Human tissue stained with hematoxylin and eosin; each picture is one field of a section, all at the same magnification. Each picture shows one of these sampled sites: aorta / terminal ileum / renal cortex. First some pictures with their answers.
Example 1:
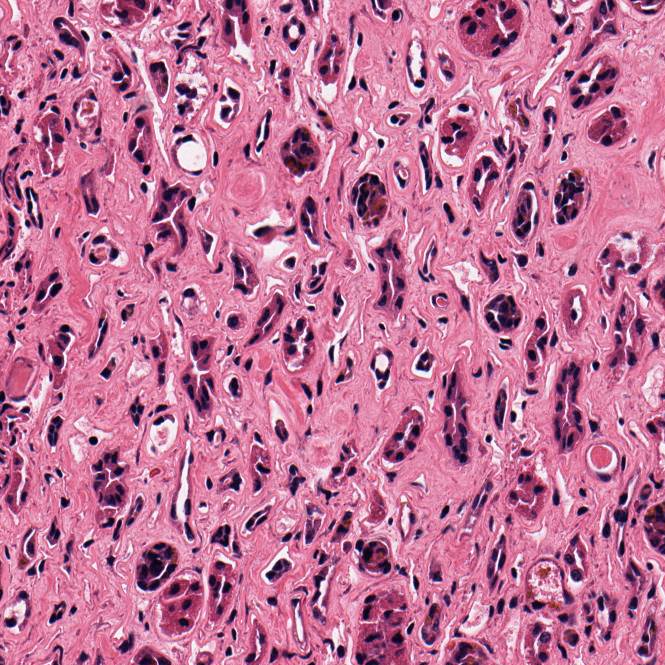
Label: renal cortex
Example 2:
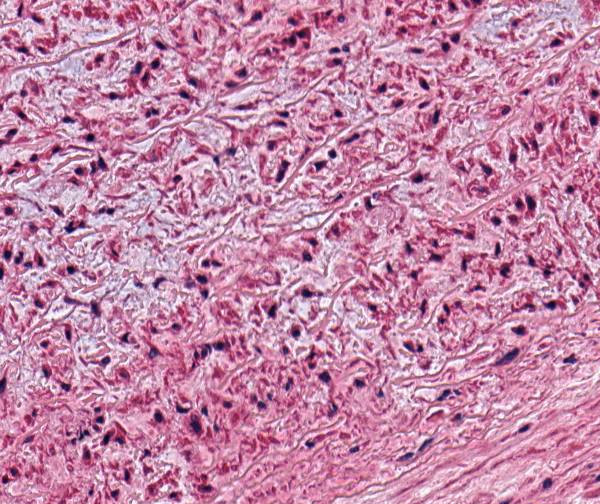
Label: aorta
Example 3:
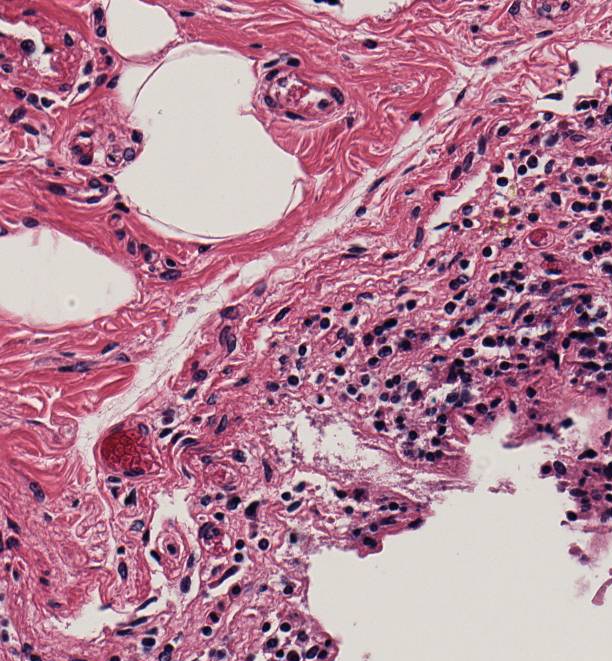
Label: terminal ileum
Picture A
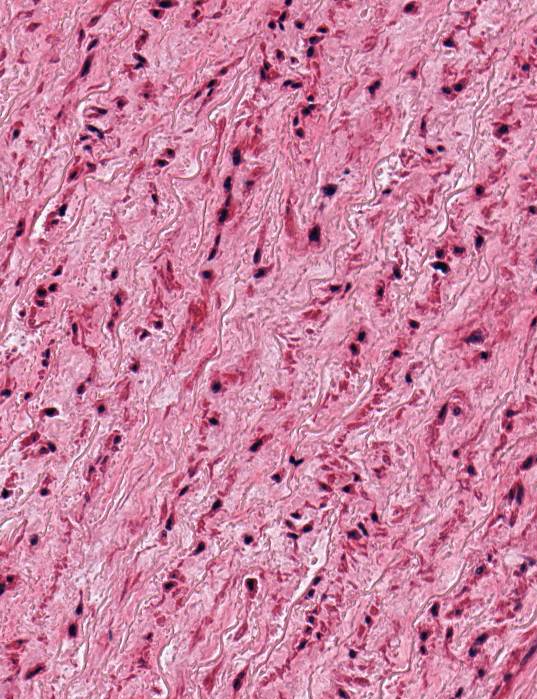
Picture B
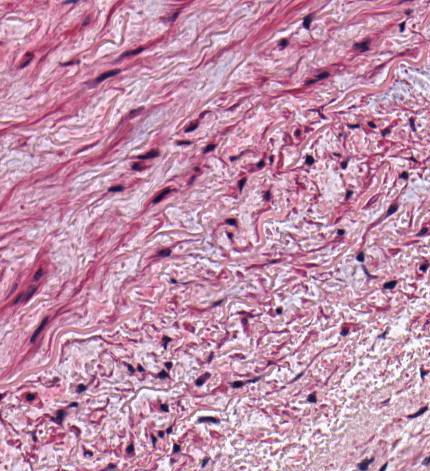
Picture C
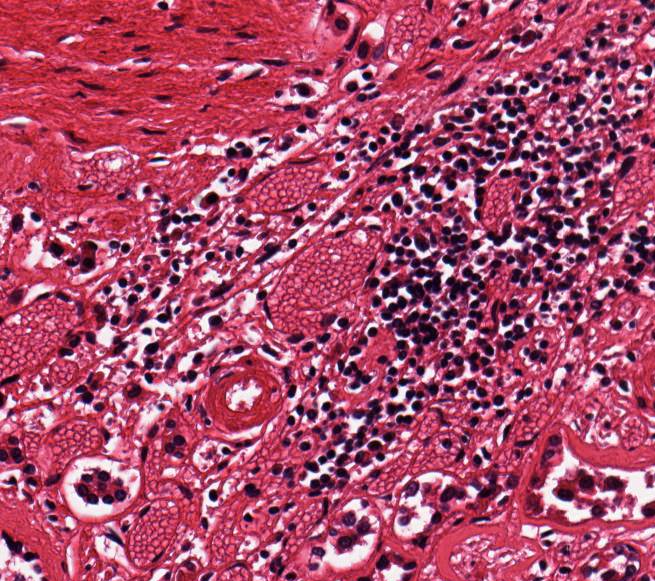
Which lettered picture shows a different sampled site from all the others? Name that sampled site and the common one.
Picture C: renal cortex. All others: aorta.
